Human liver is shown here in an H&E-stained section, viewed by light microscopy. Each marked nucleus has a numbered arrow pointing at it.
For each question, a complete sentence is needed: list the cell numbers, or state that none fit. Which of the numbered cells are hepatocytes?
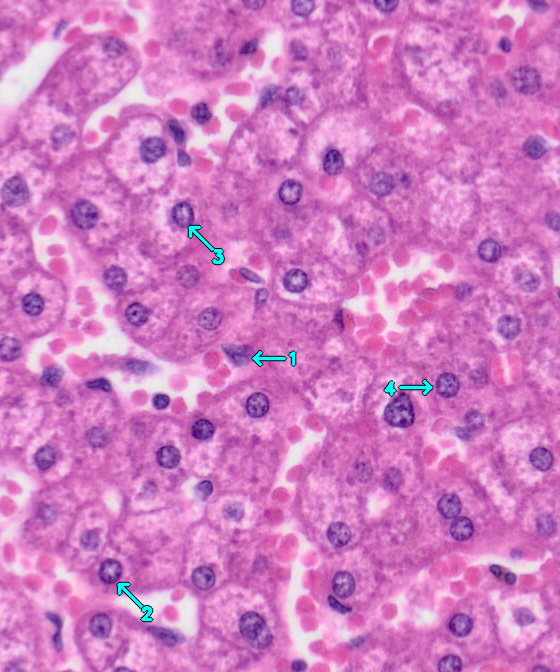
In this section, the cells numbered 2, 3 and 4 are hepatocytes.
